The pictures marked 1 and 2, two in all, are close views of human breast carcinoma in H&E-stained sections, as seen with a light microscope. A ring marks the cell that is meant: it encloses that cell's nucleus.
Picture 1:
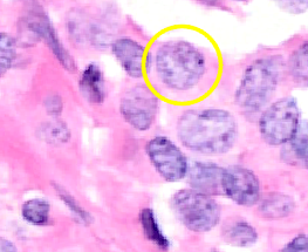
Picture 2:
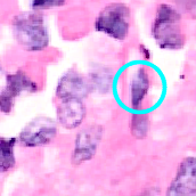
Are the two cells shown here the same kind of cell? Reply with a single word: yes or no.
no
